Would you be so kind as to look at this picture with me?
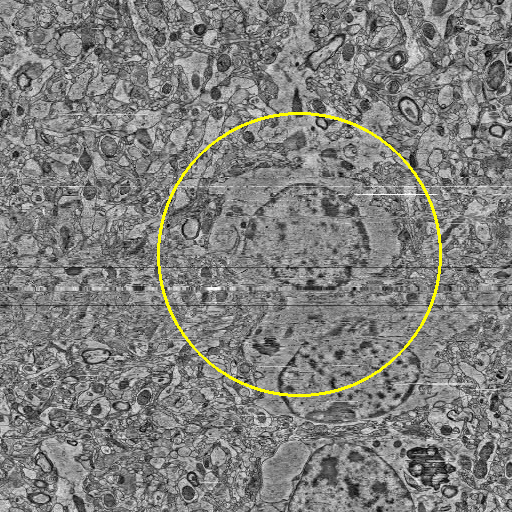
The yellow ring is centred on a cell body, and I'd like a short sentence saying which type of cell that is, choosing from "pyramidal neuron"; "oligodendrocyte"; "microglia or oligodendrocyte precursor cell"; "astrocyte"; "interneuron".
The cell body in the ring belongs to an astrocyte.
